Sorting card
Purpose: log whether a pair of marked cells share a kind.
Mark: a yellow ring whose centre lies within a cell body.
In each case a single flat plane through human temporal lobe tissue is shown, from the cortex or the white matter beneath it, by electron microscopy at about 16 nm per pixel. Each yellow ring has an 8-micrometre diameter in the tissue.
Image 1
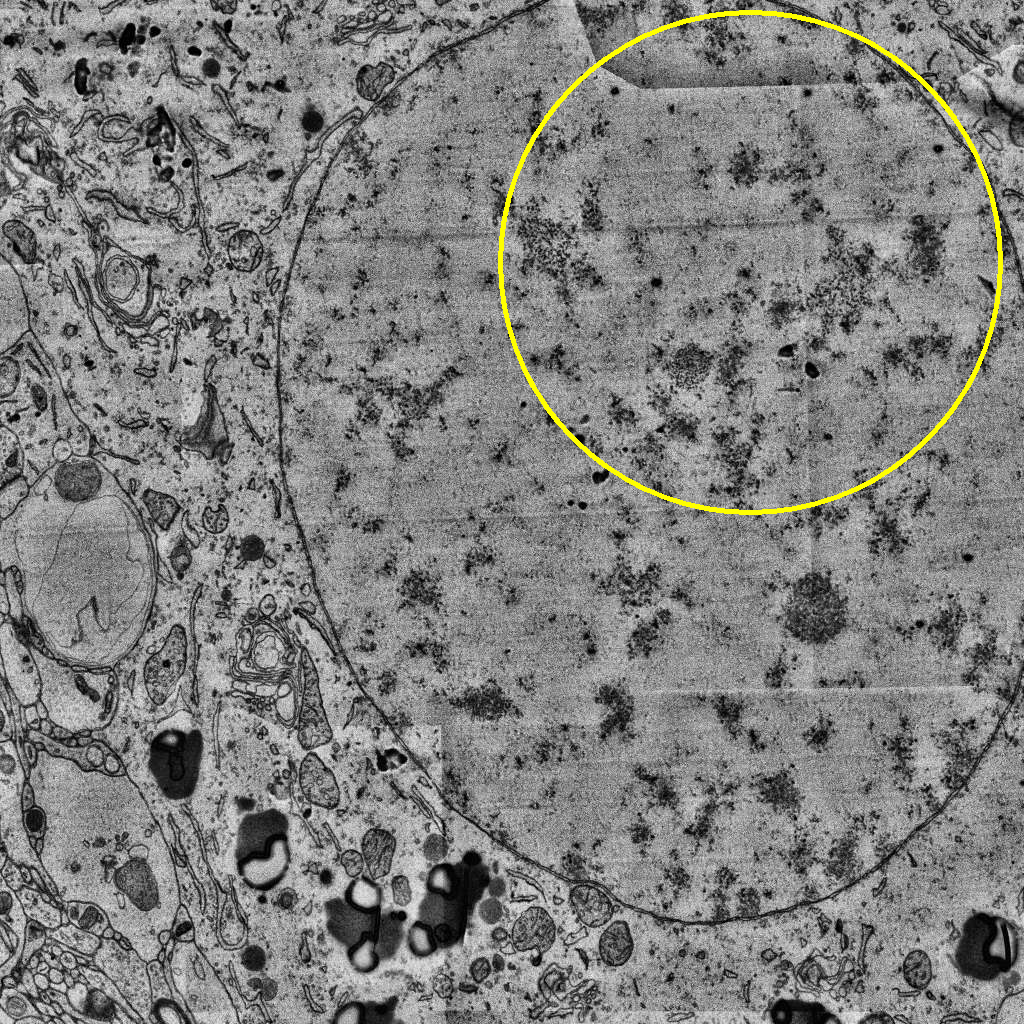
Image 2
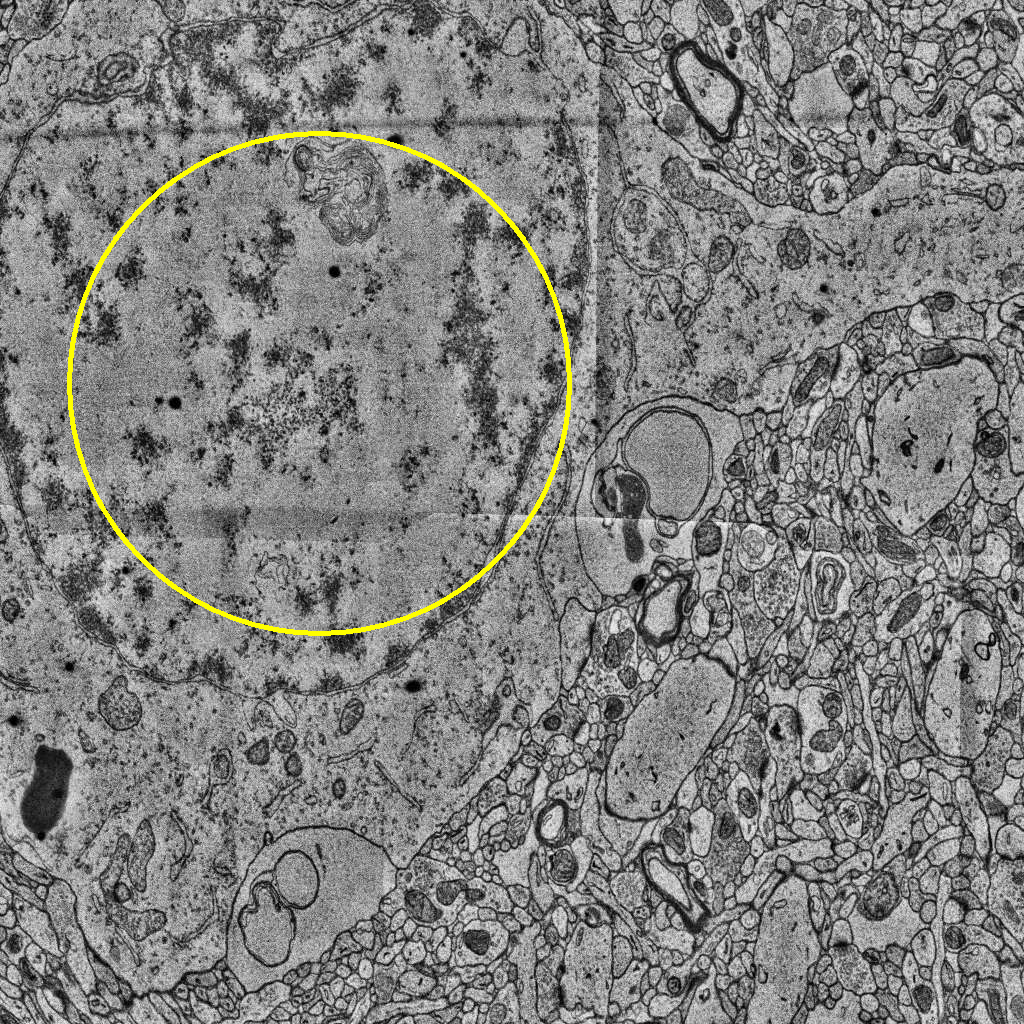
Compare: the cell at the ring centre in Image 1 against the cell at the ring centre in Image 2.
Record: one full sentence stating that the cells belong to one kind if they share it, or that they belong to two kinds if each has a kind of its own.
Across Images 1 and 2, the two cells at the ring centres belong to two kinds.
